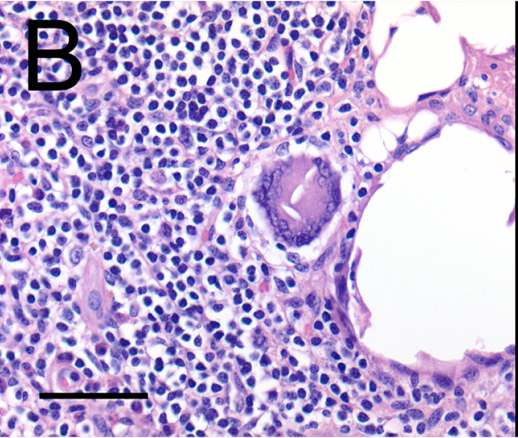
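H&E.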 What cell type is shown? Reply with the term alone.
multi-nucleated giant cells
